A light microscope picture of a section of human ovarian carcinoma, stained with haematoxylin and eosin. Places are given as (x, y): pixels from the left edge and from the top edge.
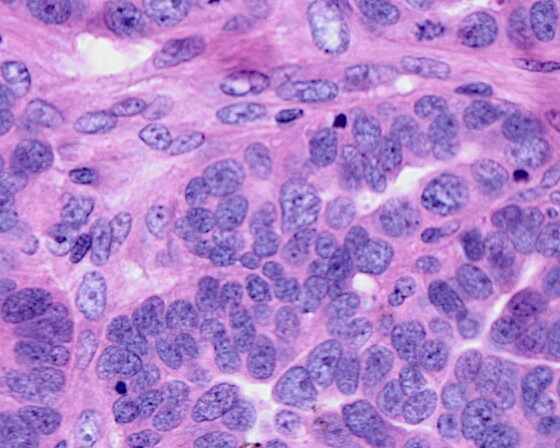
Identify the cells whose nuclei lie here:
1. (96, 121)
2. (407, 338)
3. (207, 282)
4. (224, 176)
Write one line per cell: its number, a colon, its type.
1: fibroblast
2: carcinoma cell
3: carcinoma cell
4: carcinoma cell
